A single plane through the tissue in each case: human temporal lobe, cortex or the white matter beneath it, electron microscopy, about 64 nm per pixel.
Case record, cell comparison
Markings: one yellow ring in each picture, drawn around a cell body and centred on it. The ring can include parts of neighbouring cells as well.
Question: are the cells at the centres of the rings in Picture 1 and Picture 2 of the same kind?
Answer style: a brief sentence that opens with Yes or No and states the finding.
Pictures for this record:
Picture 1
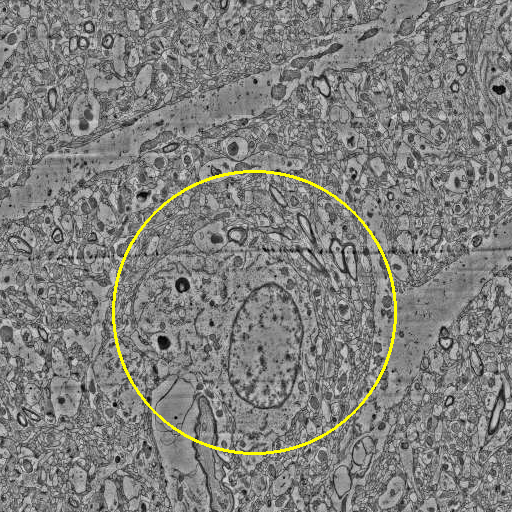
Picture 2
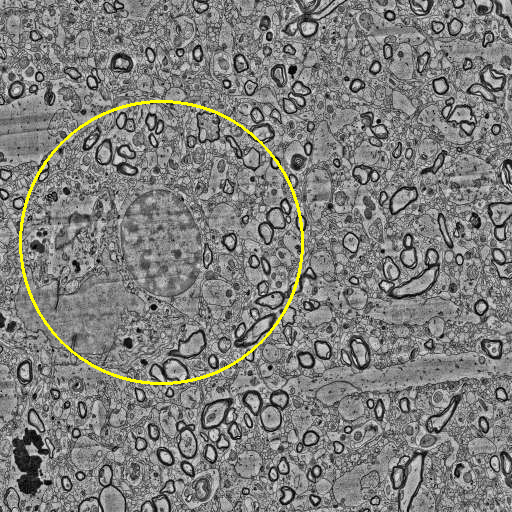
No, the cells in Picture 1 and Picture 2 are of two kinds.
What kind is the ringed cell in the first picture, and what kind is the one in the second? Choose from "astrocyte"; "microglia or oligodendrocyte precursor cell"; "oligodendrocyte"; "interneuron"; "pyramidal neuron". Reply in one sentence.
The first cell is a pyramidal neuron; the second is an oligodendrocyte.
